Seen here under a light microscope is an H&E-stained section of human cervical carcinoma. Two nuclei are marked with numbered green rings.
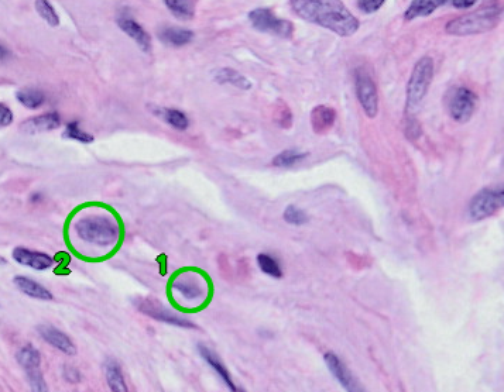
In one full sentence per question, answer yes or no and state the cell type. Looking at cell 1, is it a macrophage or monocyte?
No, cell 1 should be classed as a fibroblast, not as a macrophage or monocyte.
